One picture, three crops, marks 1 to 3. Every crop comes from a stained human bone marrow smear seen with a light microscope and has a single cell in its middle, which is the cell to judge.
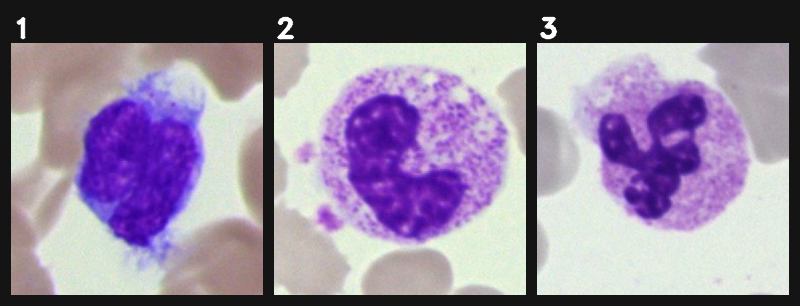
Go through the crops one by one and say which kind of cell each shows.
1: monocyte
2: band neutrophil
3: segmented neutrophil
